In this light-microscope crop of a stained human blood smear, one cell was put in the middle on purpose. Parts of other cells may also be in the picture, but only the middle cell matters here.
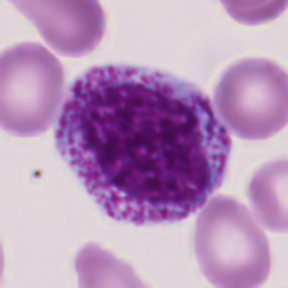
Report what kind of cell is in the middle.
myelocyte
